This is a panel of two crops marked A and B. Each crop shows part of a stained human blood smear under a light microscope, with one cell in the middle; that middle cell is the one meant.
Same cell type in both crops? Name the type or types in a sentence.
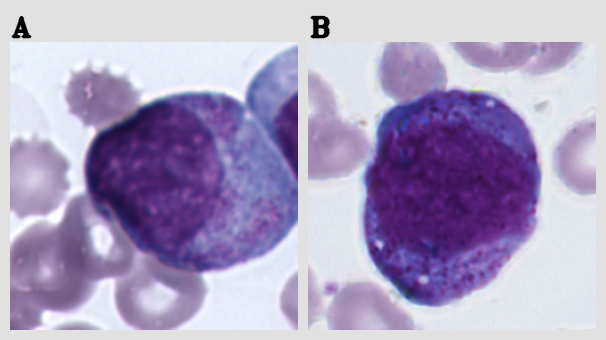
Yes, both crops show promyelocytes, the one and the other.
